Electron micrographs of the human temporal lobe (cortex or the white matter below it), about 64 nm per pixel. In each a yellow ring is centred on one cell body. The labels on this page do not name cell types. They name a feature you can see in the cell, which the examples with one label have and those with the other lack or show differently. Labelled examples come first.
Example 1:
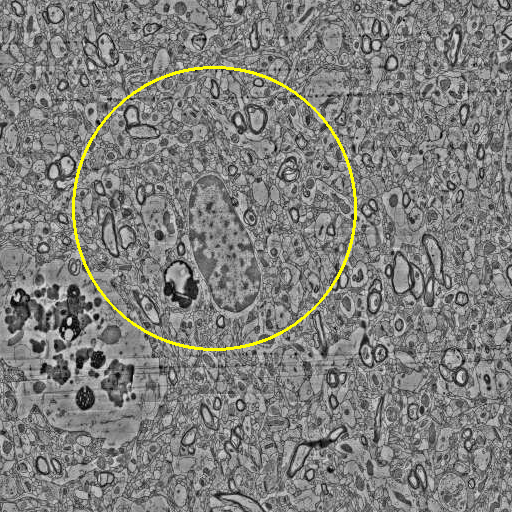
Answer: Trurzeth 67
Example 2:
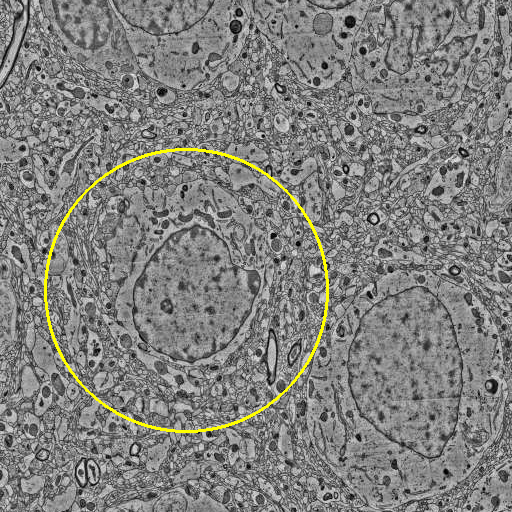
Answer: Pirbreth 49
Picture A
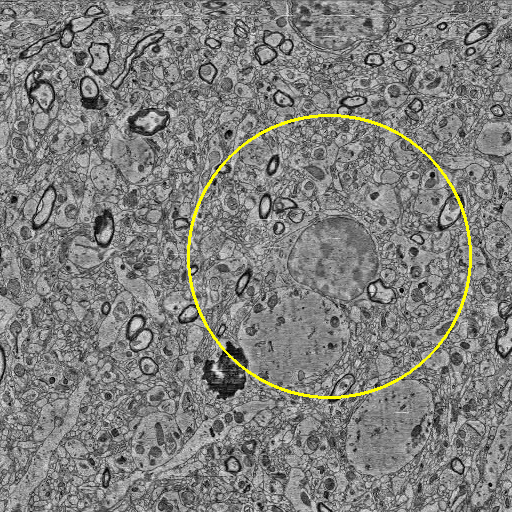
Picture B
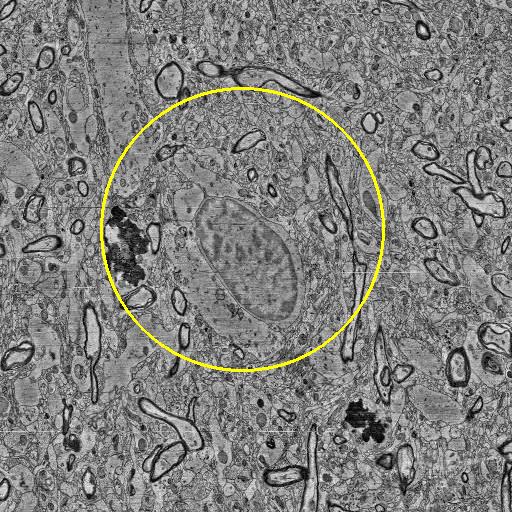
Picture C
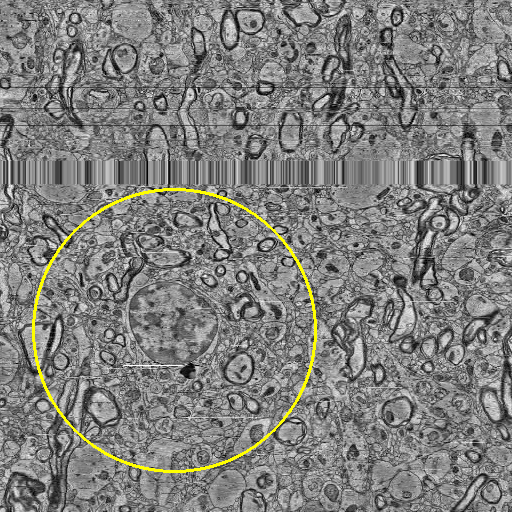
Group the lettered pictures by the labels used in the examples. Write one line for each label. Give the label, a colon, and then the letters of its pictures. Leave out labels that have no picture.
Trurzeth 67: B
Pirbreth 49: A, C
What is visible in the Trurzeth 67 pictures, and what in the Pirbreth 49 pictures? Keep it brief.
Seen in Trurzeth 67: clearly elongated nuclei; seen in Pirbreth 49: round or nearly round nuclei.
